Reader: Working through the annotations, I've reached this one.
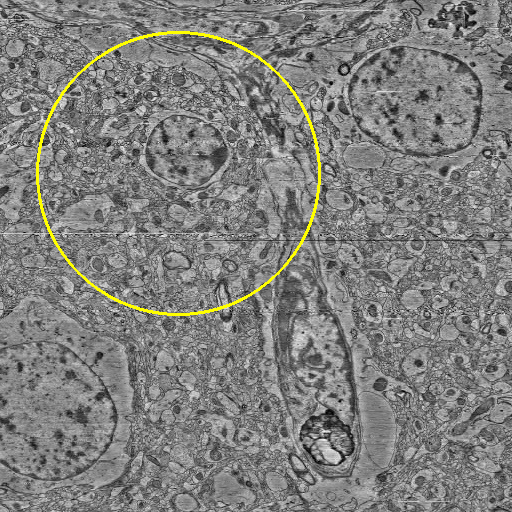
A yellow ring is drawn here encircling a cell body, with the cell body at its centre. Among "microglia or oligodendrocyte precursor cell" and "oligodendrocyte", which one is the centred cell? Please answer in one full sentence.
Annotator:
The cell body at the centre of the yellow ring in this image belongs to a microglial cell or oligodendrocyte precursor cell.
